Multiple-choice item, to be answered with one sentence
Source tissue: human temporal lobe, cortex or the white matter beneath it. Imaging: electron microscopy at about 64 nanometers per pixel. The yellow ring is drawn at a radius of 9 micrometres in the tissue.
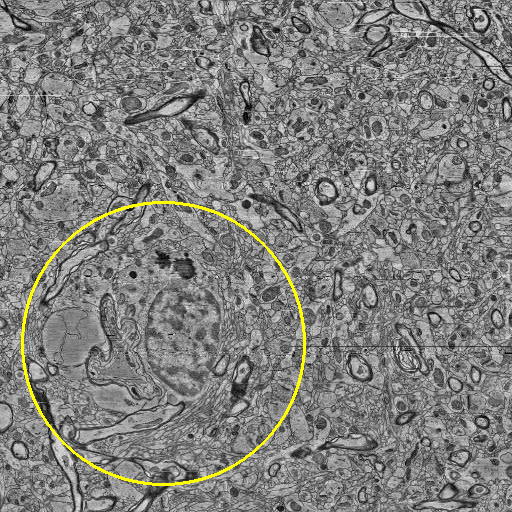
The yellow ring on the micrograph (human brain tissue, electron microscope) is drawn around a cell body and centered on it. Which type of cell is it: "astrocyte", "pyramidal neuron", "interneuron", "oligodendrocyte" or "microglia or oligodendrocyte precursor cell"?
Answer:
The ring is centered on an oligodendrocyte.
